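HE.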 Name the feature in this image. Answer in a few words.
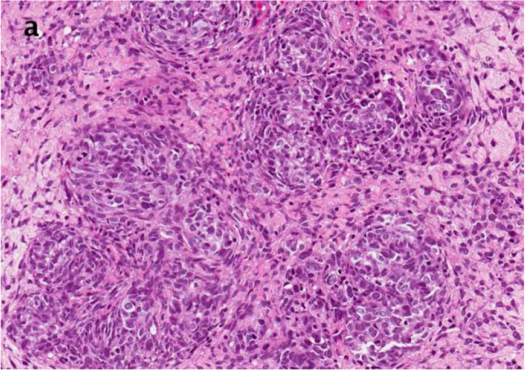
Nests of immature epithelioid cells.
